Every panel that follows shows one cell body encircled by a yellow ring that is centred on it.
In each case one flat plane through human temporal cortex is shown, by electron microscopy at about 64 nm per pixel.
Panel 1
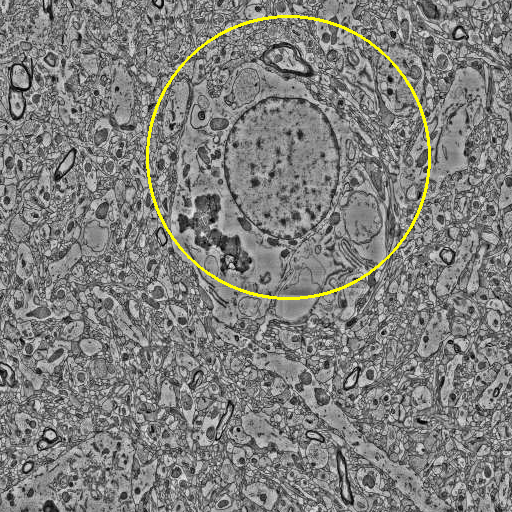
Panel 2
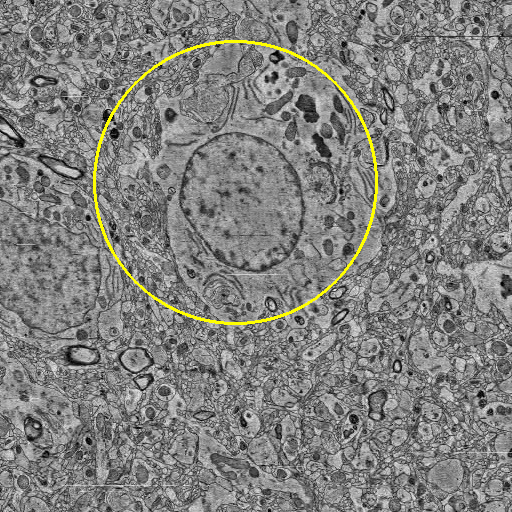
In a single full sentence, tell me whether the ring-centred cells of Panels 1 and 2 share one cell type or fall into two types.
In Panel 1 and Panel 2, the cells at the ring centres share one cell type.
